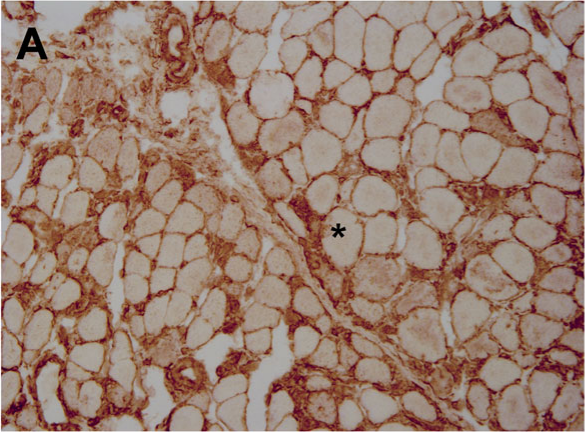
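Skeletal muscle fibres in cross-section, rounded and of very uneven size, with brown rims outlining each fibre and brown-stained tissue filling the spaces between groups of fibres. Some fibres show faint brown staining of their cytoplasm, while many are pale inside their stained rims. Small vessels with brown walls lie in the connective tissue between fascicles, and there are clefts where fibres have pulled apart.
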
